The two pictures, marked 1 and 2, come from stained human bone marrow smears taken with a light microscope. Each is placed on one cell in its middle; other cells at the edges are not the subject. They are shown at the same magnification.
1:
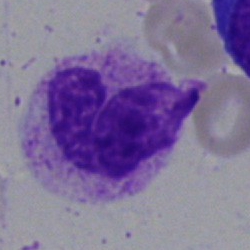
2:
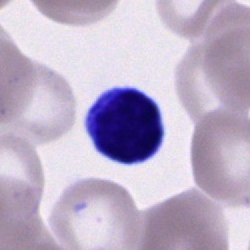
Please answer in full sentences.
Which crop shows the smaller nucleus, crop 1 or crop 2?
The nucleus in crop 2 is smaller; the one in crop 1 has about 3 times its area.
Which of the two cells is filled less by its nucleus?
Of the two, the nucleus in crop 1 leaves more room for cytoplasm.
